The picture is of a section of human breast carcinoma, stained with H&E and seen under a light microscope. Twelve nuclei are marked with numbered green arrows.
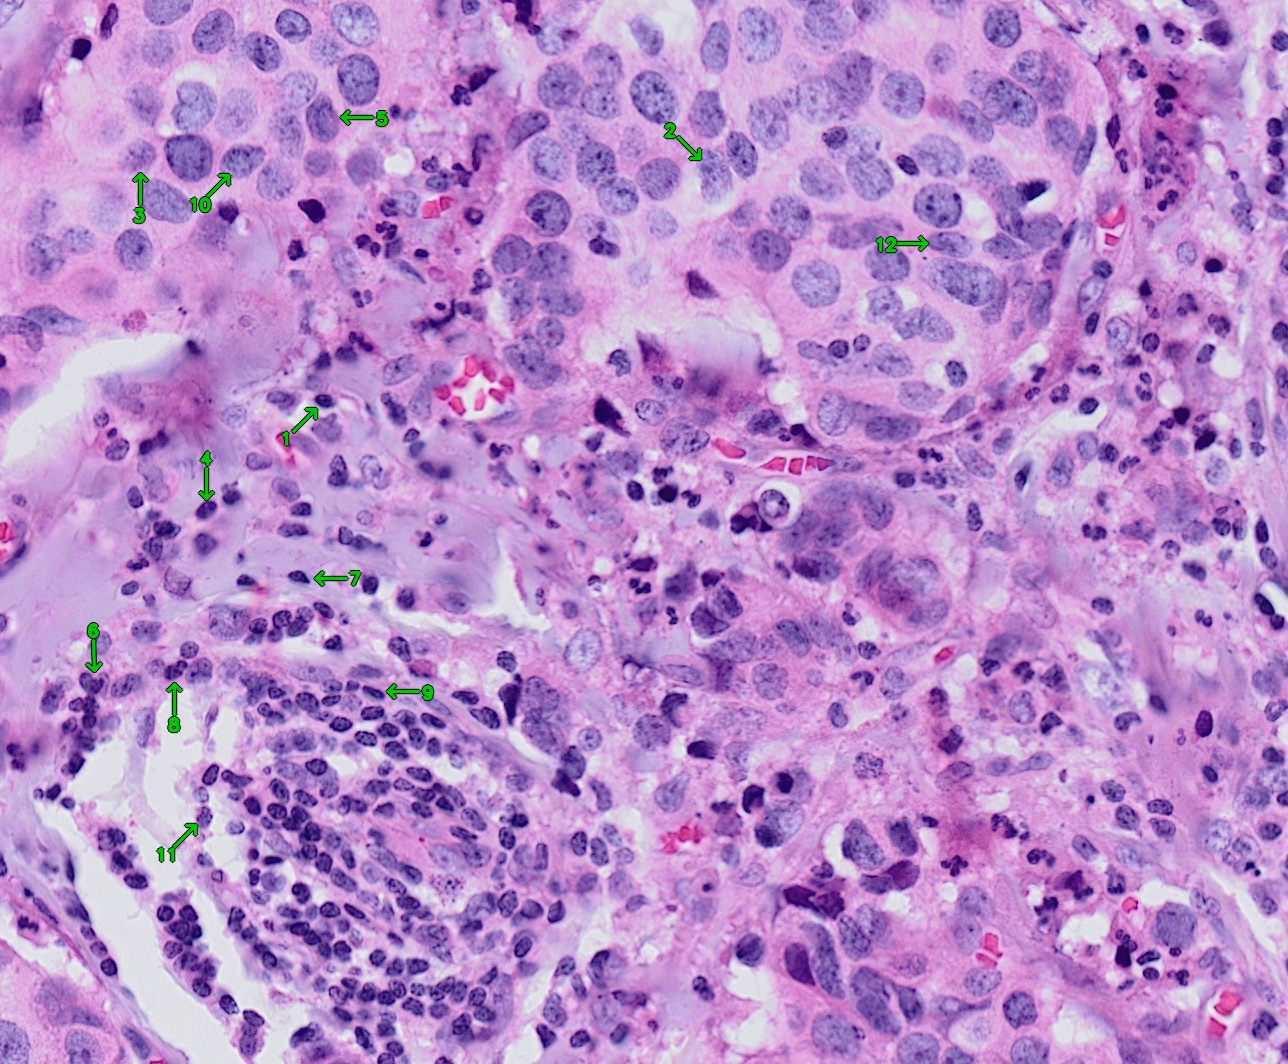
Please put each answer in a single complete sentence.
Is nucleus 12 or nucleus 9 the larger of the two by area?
At about 3 times the area of nucleus 9, nucleus 12 is the larger of the two.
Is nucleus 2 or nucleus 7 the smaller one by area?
It is nucleus 7; nucleus 2 has about 4 times its area.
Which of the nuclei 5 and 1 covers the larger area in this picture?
Nucleus 5 is larger, with an area about 4 times that of nucleus 1.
